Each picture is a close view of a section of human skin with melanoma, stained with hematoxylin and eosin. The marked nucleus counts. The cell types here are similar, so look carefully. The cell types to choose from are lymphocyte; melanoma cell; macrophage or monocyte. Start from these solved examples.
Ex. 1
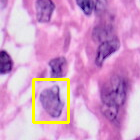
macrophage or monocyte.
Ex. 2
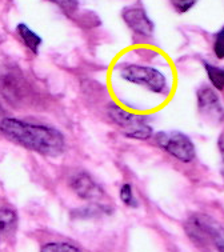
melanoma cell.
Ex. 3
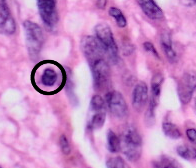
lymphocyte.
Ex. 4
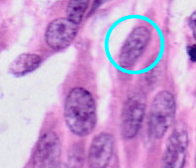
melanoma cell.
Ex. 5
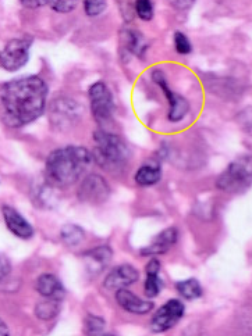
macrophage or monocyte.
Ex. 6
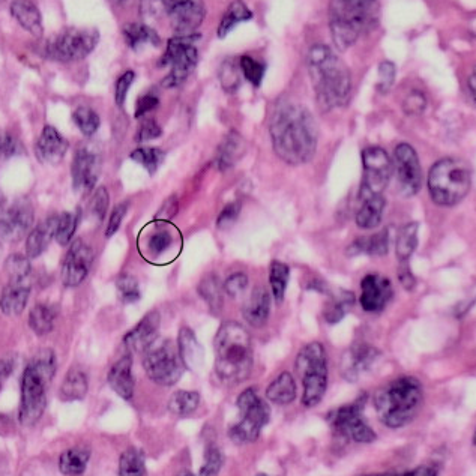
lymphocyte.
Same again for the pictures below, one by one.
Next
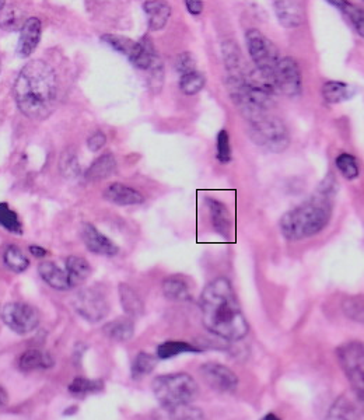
macrophage or monocyte.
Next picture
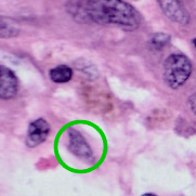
macrophage or monocyte.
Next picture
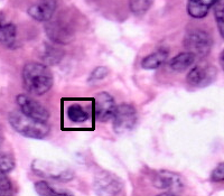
lymphocyte.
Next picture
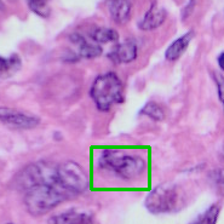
melanoma cell.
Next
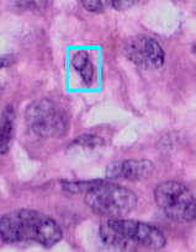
macrophage or monocyte.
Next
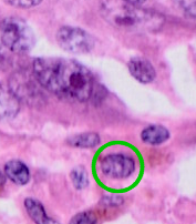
macrophage or monocyte.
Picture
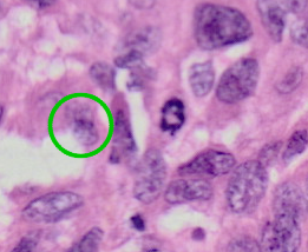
melanoma cell.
